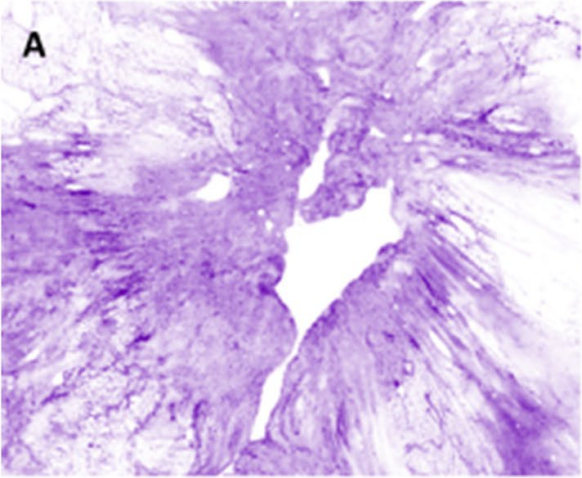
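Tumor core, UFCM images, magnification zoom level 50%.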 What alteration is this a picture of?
Holes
